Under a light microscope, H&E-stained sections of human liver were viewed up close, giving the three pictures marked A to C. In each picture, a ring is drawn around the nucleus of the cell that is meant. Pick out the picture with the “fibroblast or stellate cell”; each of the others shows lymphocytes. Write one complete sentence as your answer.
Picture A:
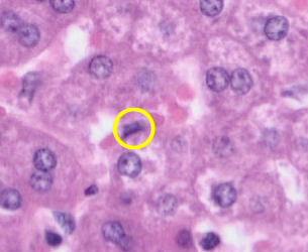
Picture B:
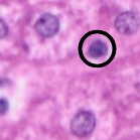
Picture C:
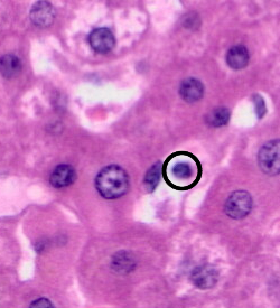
The “fibroblast or stellate cell” is the one in picture A.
